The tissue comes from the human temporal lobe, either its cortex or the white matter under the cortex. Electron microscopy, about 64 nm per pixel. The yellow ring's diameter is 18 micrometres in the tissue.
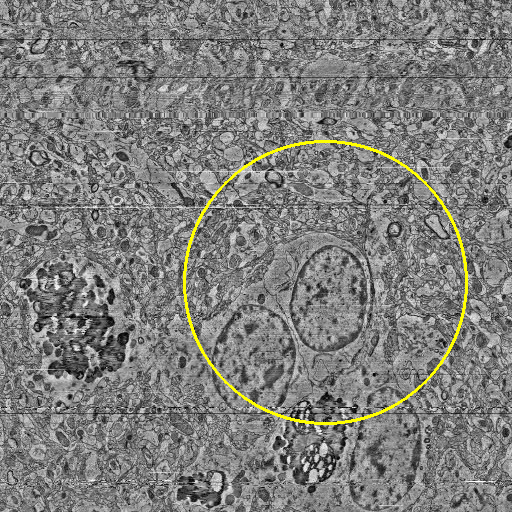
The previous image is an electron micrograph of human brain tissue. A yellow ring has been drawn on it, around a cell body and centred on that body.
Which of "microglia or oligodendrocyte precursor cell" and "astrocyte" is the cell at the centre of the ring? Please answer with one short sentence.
The cell body at the centre of the ring belongs to an astrocyte.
